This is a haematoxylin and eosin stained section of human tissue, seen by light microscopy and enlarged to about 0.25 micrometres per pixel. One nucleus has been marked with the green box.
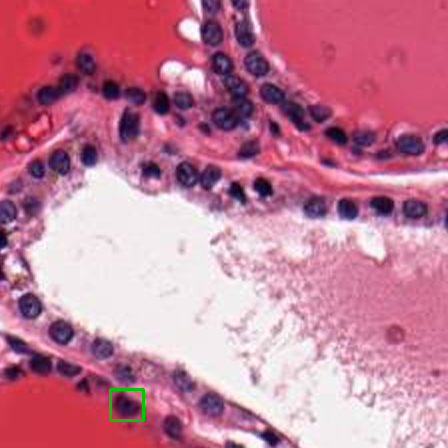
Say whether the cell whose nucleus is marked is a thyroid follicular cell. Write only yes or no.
yes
